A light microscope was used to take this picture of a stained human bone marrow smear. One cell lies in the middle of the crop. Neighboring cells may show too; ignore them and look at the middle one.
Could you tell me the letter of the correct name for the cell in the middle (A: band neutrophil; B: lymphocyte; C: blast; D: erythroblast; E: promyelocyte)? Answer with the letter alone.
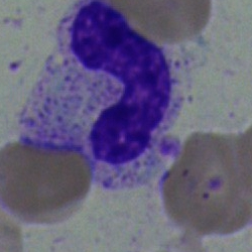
A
